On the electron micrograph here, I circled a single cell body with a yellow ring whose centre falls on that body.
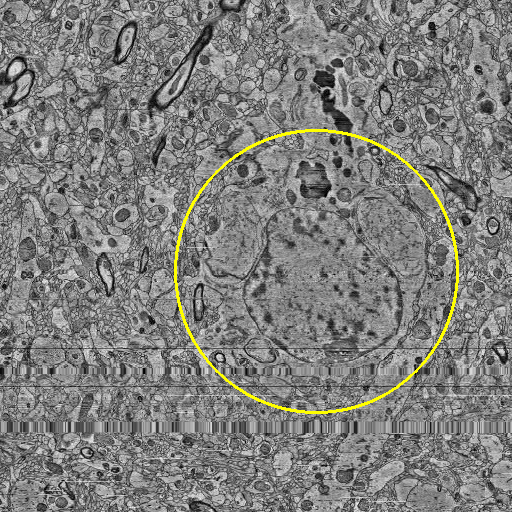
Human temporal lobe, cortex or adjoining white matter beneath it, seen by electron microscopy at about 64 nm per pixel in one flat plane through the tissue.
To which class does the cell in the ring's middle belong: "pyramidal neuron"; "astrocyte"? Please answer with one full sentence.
In this picture, the cell body circled at the ring's centre belongs to an astrocyte.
